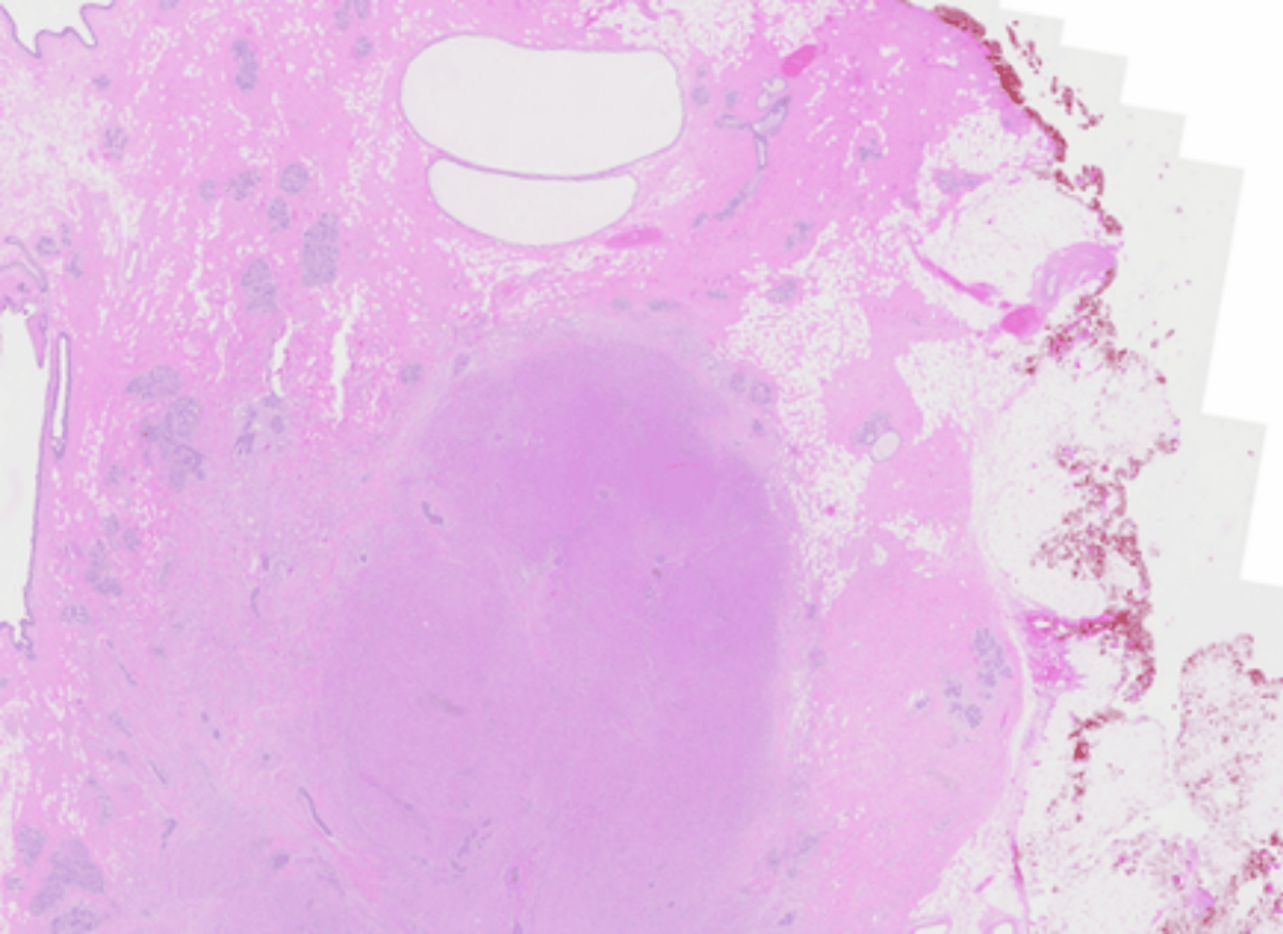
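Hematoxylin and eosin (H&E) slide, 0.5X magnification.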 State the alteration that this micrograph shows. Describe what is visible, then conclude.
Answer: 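A large, rounded, fairly well-demarcated mass sits in the lower centre of the section. The mass stains a more uniform, denser purple-pink than the tissue around it. Its rounded edge pushes against the surrounding paler pink stroma.
Nodular lesion.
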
